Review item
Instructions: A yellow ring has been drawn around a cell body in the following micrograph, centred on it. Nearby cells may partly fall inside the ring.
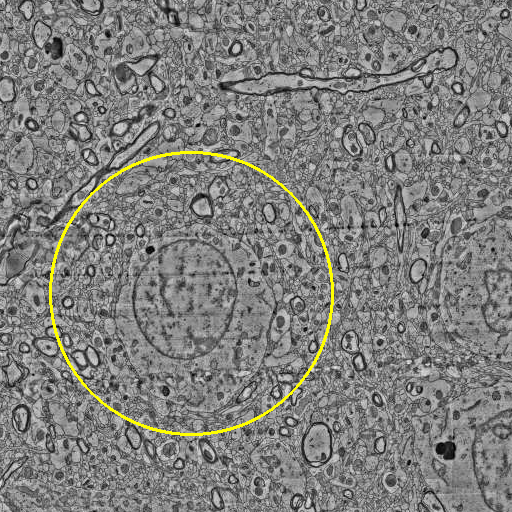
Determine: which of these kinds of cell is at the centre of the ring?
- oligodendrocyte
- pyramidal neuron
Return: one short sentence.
The cell body in the middle of the ring is that of a pyramidal neuron.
